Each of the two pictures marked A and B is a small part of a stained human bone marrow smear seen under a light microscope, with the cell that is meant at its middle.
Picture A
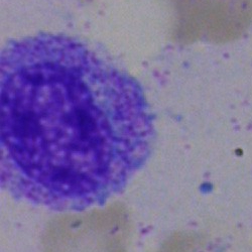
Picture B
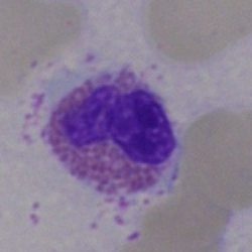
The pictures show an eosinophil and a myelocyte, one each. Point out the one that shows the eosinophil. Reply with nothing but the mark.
B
